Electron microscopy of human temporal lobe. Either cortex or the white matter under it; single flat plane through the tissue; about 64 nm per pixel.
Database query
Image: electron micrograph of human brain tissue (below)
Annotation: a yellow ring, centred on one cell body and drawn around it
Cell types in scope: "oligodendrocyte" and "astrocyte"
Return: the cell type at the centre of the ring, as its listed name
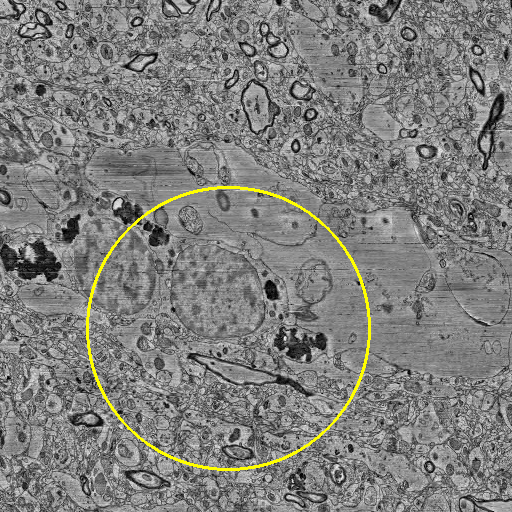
oligodendrocyte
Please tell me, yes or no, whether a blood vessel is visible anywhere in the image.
Yes, one shows.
